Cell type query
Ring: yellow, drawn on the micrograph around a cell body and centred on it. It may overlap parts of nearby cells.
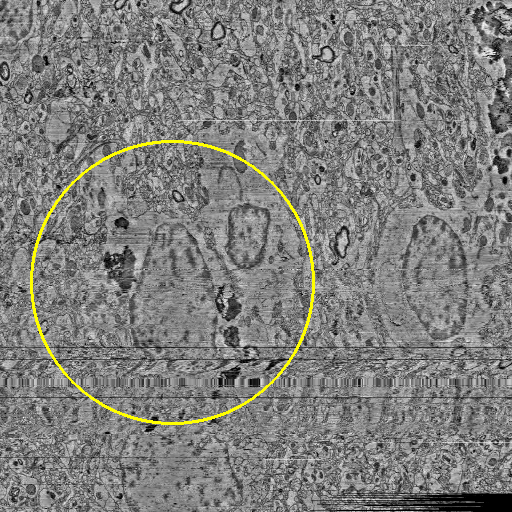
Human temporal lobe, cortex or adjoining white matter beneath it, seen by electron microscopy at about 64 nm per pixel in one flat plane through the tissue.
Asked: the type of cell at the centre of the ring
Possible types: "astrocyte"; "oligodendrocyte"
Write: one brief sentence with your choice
The ring marks an astrocyte.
